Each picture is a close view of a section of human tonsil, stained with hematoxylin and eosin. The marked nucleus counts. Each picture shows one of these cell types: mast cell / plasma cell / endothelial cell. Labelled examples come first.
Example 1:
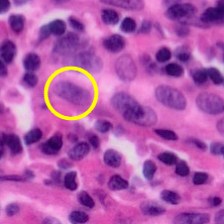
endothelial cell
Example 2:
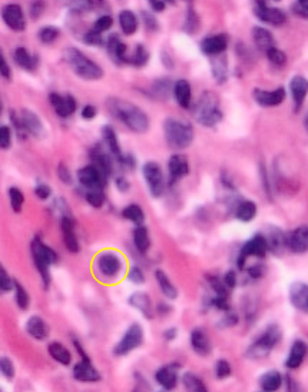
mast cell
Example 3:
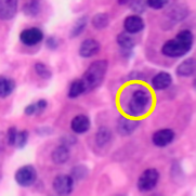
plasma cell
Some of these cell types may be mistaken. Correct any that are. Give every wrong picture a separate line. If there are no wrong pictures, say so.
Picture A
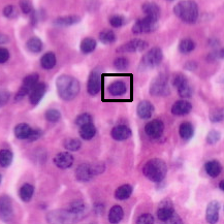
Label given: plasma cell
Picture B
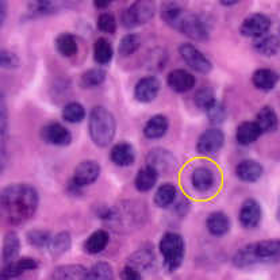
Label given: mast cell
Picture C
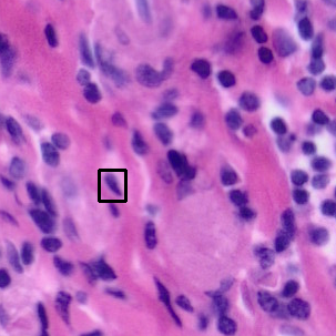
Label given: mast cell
Wrong: B (mast cell); correct: plasma cell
